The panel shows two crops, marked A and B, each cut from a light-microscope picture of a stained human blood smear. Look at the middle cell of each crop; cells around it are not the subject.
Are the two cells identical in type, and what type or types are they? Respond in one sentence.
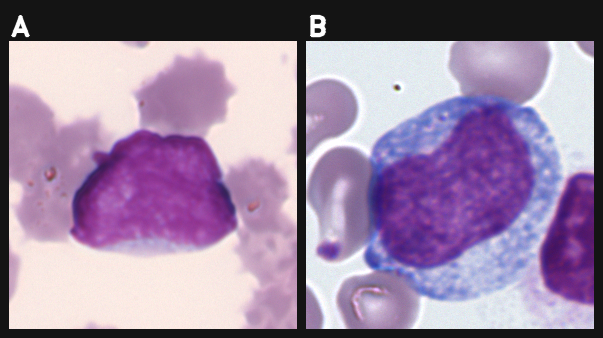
No, the central cell of crop A is a myeloblast; that of crop B is a promyelocyte.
